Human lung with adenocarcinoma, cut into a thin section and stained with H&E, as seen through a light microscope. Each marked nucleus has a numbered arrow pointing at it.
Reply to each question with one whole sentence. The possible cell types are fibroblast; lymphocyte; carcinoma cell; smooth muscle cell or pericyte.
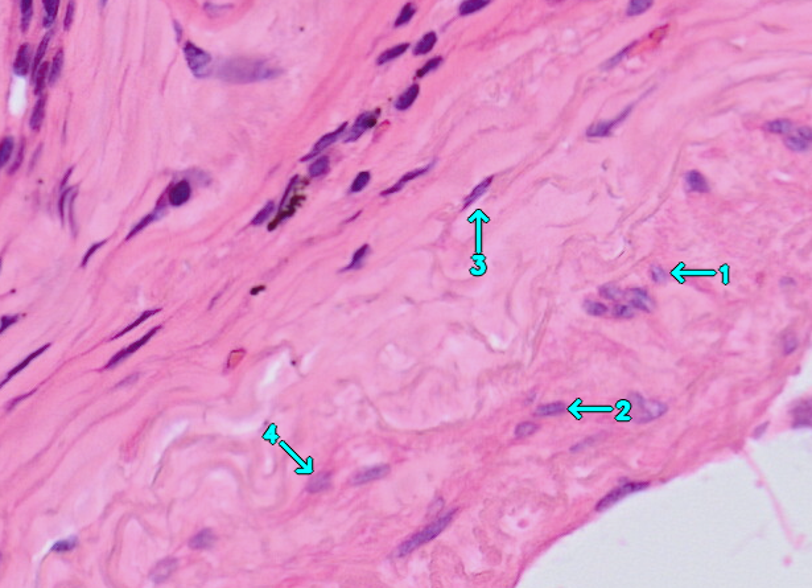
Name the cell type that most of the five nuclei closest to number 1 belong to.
The majority of the five nuclei closest to number 1 belong to smooth muscle cells or pericytes.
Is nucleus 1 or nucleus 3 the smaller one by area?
With nucleus 3 about 1.5 times its size, nucleus 1 is the smaller of the two.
